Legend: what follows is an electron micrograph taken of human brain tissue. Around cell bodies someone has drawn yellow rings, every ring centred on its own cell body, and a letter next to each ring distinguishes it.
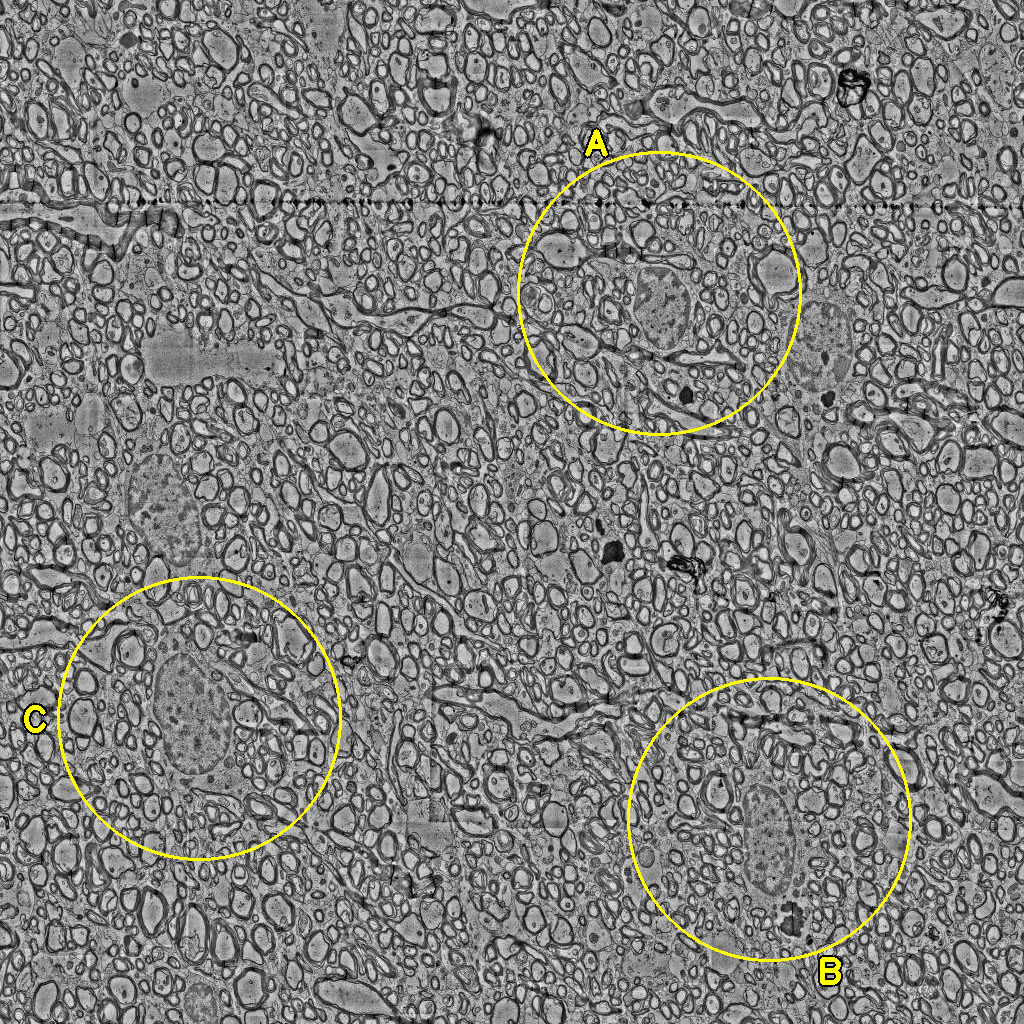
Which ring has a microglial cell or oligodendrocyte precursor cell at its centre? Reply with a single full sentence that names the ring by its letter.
Ring A is the one centred on the cell asked for in the picture.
